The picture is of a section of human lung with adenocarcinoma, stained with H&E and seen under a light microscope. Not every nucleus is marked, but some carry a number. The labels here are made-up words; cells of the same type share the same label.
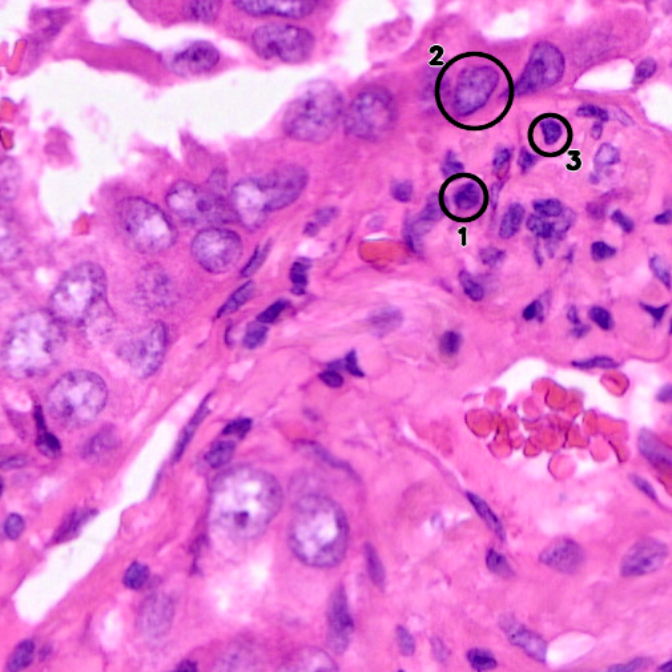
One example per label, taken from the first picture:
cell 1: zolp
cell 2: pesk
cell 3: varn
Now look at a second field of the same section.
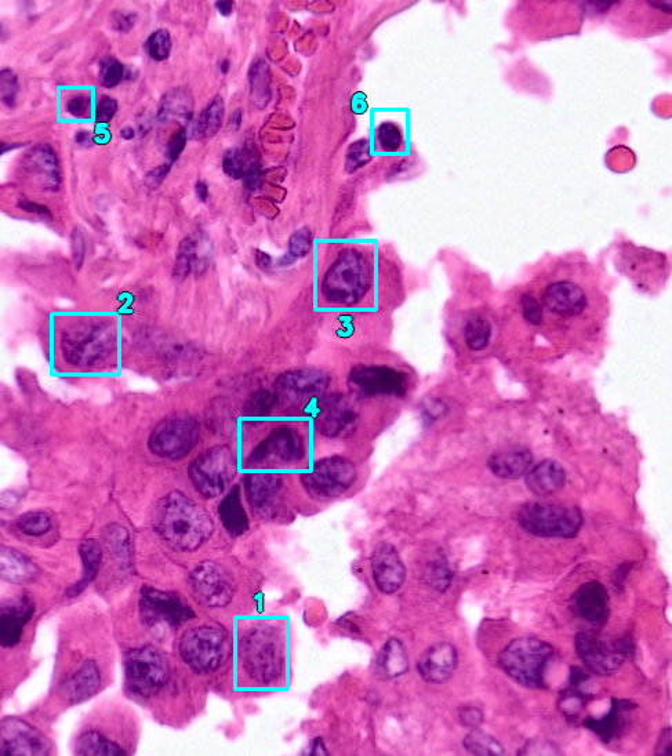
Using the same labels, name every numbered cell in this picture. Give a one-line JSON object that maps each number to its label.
{"1": "pesk", "2": "pesk", "3": "pesk", "4": "pesk", "5": "zolp", "6": "varn"}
